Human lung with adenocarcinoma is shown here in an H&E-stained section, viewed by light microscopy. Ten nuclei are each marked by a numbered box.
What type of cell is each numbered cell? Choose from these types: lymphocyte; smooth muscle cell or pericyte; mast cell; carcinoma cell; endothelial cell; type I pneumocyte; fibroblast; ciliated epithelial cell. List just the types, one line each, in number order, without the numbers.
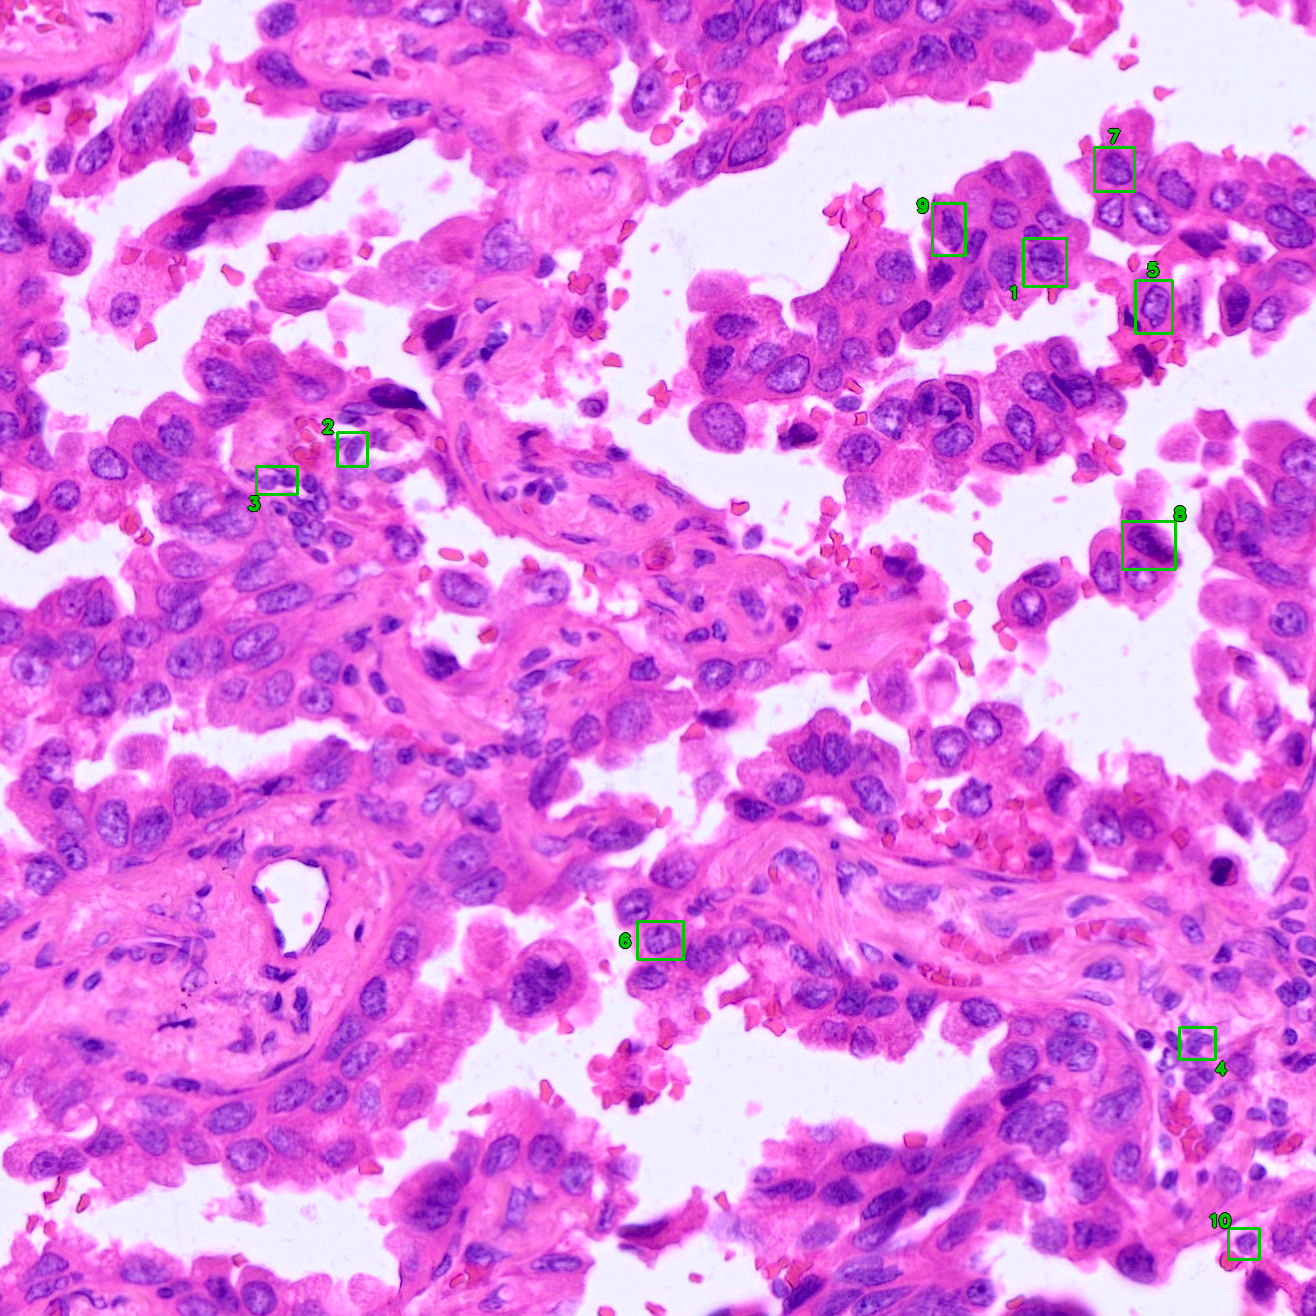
carcinoma cell
lymphocyte
lymphocyte
lymphocyte
carcinoma cell
carcinoma cell
carcinoma cell
carcinoma cell
carcinoma cell
lymphocyte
